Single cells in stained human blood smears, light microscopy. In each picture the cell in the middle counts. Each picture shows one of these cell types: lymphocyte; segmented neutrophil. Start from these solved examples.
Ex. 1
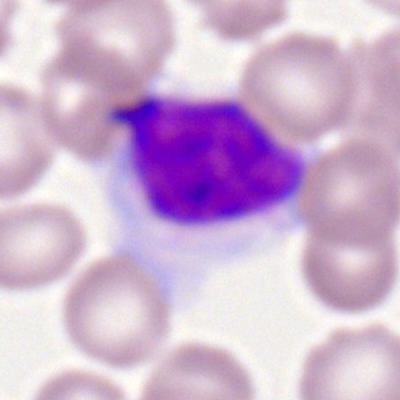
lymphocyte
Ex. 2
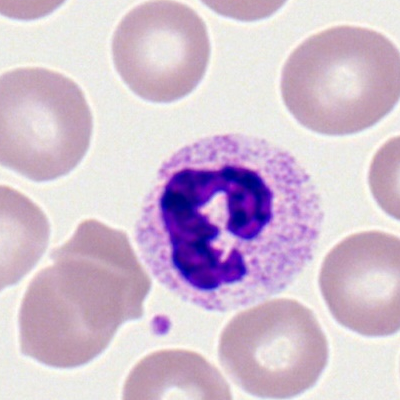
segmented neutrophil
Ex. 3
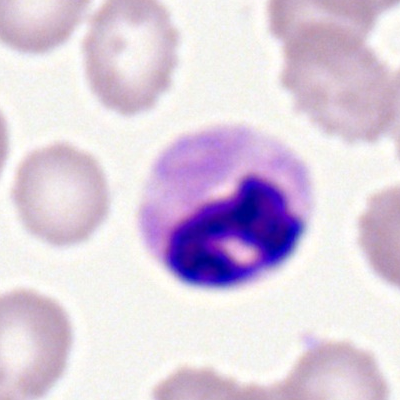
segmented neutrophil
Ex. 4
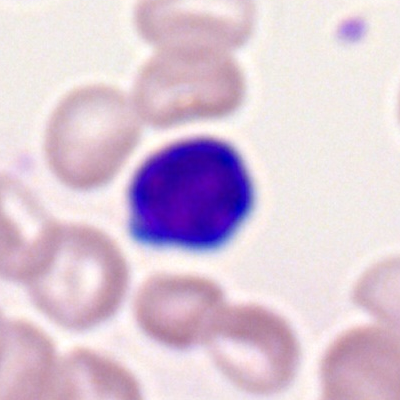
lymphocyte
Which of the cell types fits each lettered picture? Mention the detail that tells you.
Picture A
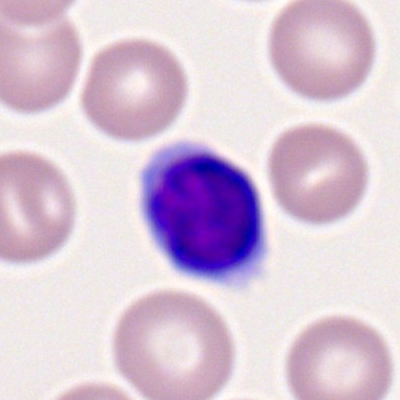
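lymphocyte. Reason: Only a scant rim of pale blue cytoplasm is visible around the nucleus.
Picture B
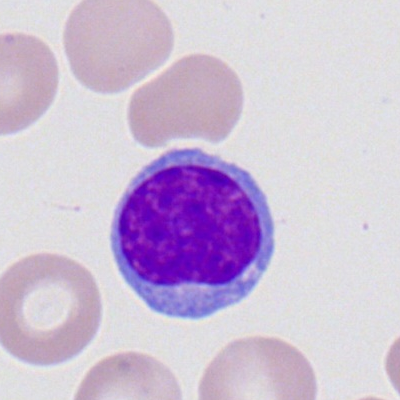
lymphocyte. Reason: The nucleus fills most of the cell.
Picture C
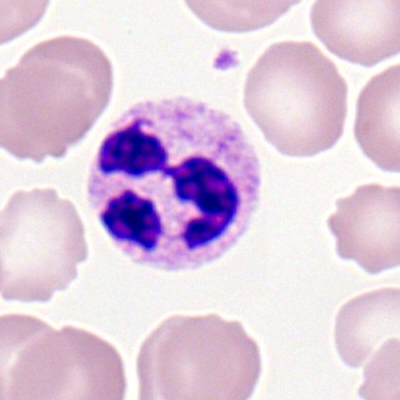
segmented neutrophil. Reason: The cytoplasm is abundant and pale pink-lilac.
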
